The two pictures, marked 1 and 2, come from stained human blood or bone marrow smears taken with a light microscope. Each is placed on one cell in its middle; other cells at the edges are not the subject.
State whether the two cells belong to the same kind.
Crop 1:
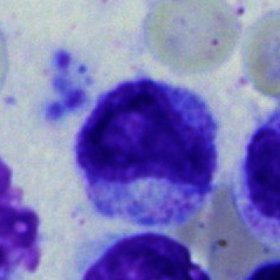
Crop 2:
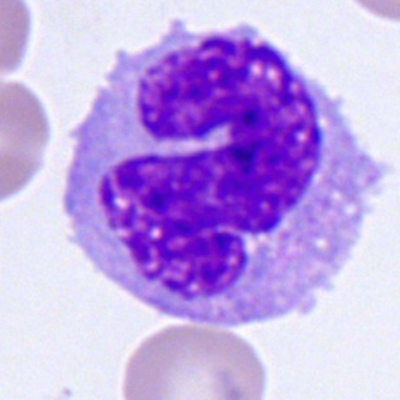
yes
